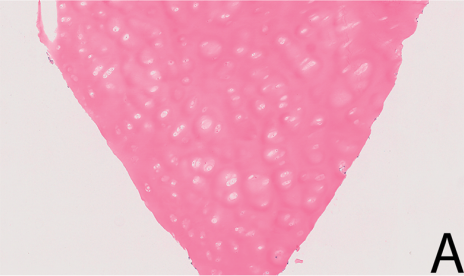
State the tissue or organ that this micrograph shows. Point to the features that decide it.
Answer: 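Homogeneous pink matrix. Many scattered pale oval lacunae throughout the matrix. On this evidence: cartilage.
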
